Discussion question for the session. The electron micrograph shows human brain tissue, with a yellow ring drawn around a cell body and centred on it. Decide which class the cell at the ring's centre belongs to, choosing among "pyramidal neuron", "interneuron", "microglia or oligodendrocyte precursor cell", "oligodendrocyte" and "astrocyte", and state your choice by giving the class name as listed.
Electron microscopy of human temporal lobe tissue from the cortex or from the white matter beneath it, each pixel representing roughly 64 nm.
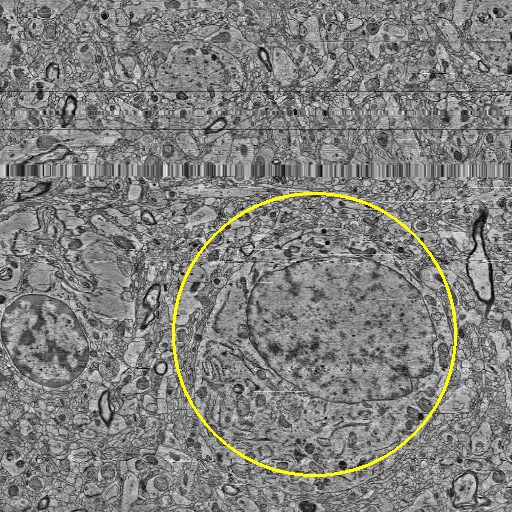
interneuron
